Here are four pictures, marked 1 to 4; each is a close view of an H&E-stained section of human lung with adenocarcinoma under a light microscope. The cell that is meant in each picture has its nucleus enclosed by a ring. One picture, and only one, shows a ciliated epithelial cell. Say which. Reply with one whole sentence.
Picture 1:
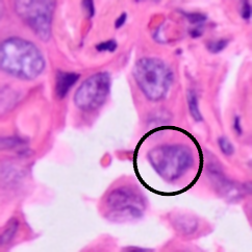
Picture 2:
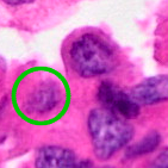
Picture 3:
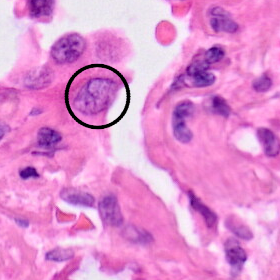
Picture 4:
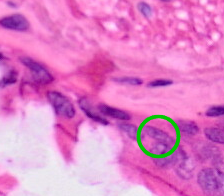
Picture 4 shows the ciliated epithelial cell.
